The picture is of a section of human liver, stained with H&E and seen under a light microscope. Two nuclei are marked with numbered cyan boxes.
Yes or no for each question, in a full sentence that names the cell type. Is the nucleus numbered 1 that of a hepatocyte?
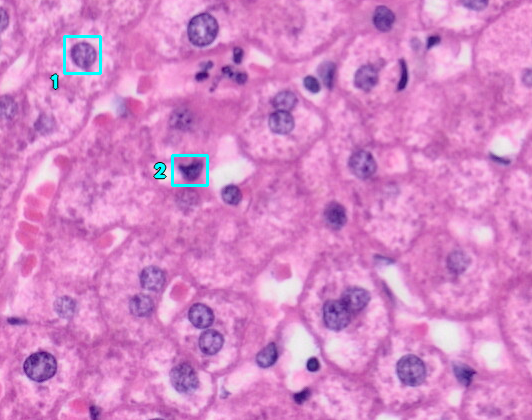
Yes, cell number 1 in this section is a hepatocyte.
